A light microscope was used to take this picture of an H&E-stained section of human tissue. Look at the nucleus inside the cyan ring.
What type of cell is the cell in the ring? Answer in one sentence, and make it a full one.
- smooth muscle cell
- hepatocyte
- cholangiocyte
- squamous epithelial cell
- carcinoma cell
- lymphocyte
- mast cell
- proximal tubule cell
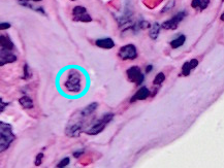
Labelled by cell type, the cell in the ring is a mast cell.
